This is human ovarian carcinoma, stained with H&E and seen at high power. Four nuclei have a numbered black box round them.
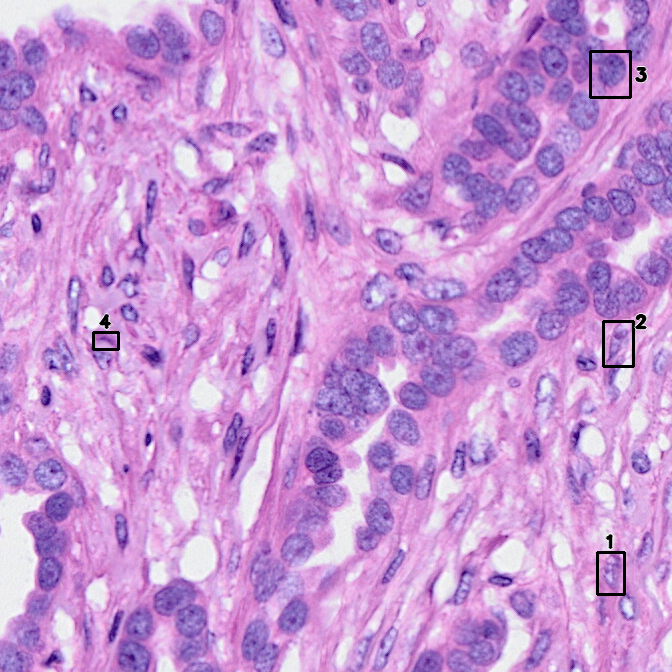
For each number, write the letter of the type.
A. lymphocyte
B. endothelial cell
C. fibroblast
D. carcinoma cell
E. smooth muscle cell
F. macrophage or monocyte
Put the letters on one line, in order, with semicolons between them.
C; C; D; C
